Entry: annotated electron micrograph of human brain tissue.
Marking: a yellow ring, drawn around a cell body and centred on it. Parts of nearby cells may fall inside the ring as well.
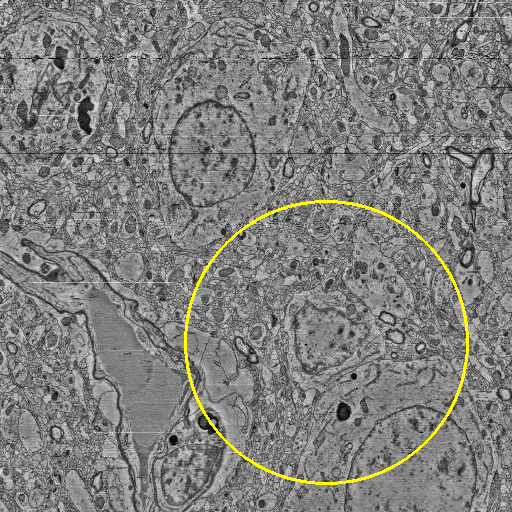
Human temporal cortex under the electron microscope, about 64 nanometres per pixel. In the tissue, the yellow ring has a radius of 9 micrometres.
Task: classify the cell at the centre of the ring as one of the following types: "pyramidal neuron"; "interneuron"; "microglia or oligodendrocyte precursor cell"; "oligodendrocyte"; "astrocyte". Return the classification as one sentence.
The marked cell is classified as an interneuron.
